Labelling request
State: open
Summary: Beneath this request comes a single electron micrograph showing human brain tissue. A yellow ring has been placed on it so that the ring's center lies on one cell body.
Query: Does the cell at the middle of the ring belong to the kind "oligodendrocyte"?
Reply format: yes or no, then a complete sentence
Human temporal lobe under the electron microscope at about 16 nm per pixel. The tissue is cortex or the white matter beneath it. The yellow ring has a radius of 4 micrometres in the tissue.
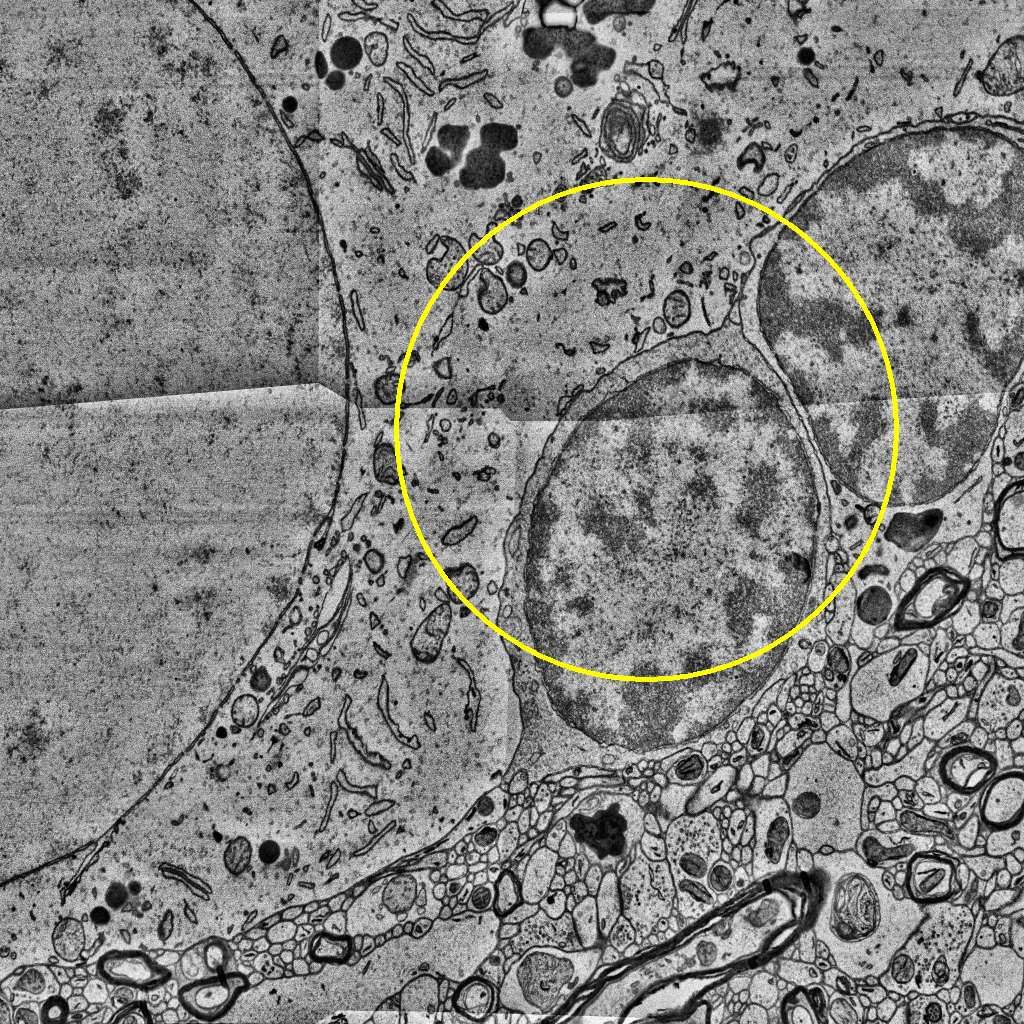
Yes, the cell sitting at the center of the ring in this picture is of that kind.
